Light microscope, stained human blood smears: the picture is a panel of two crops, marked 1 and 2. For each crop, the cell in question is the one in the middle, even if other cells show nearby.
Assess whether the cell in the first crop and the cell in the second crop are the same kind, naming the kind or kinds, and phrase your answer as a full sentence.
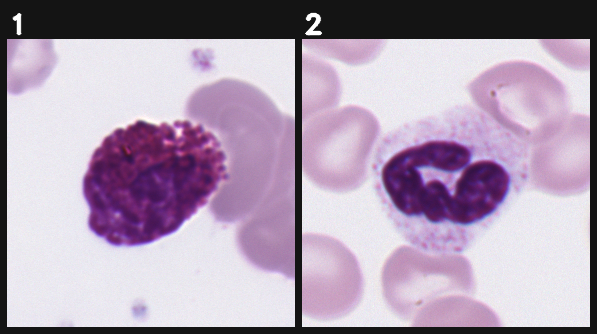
No, the cell in crop 1 is an eosinophil and the one in crop 2 is a neutrophil.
